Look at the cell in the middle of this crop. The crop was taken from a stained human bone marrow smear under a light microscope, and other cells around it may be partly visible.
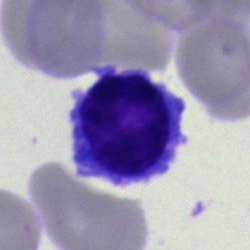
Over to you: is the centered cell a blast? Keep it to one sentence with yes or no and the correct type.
No, looking at the central cell, it is a lymphocyte rather than a blast.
